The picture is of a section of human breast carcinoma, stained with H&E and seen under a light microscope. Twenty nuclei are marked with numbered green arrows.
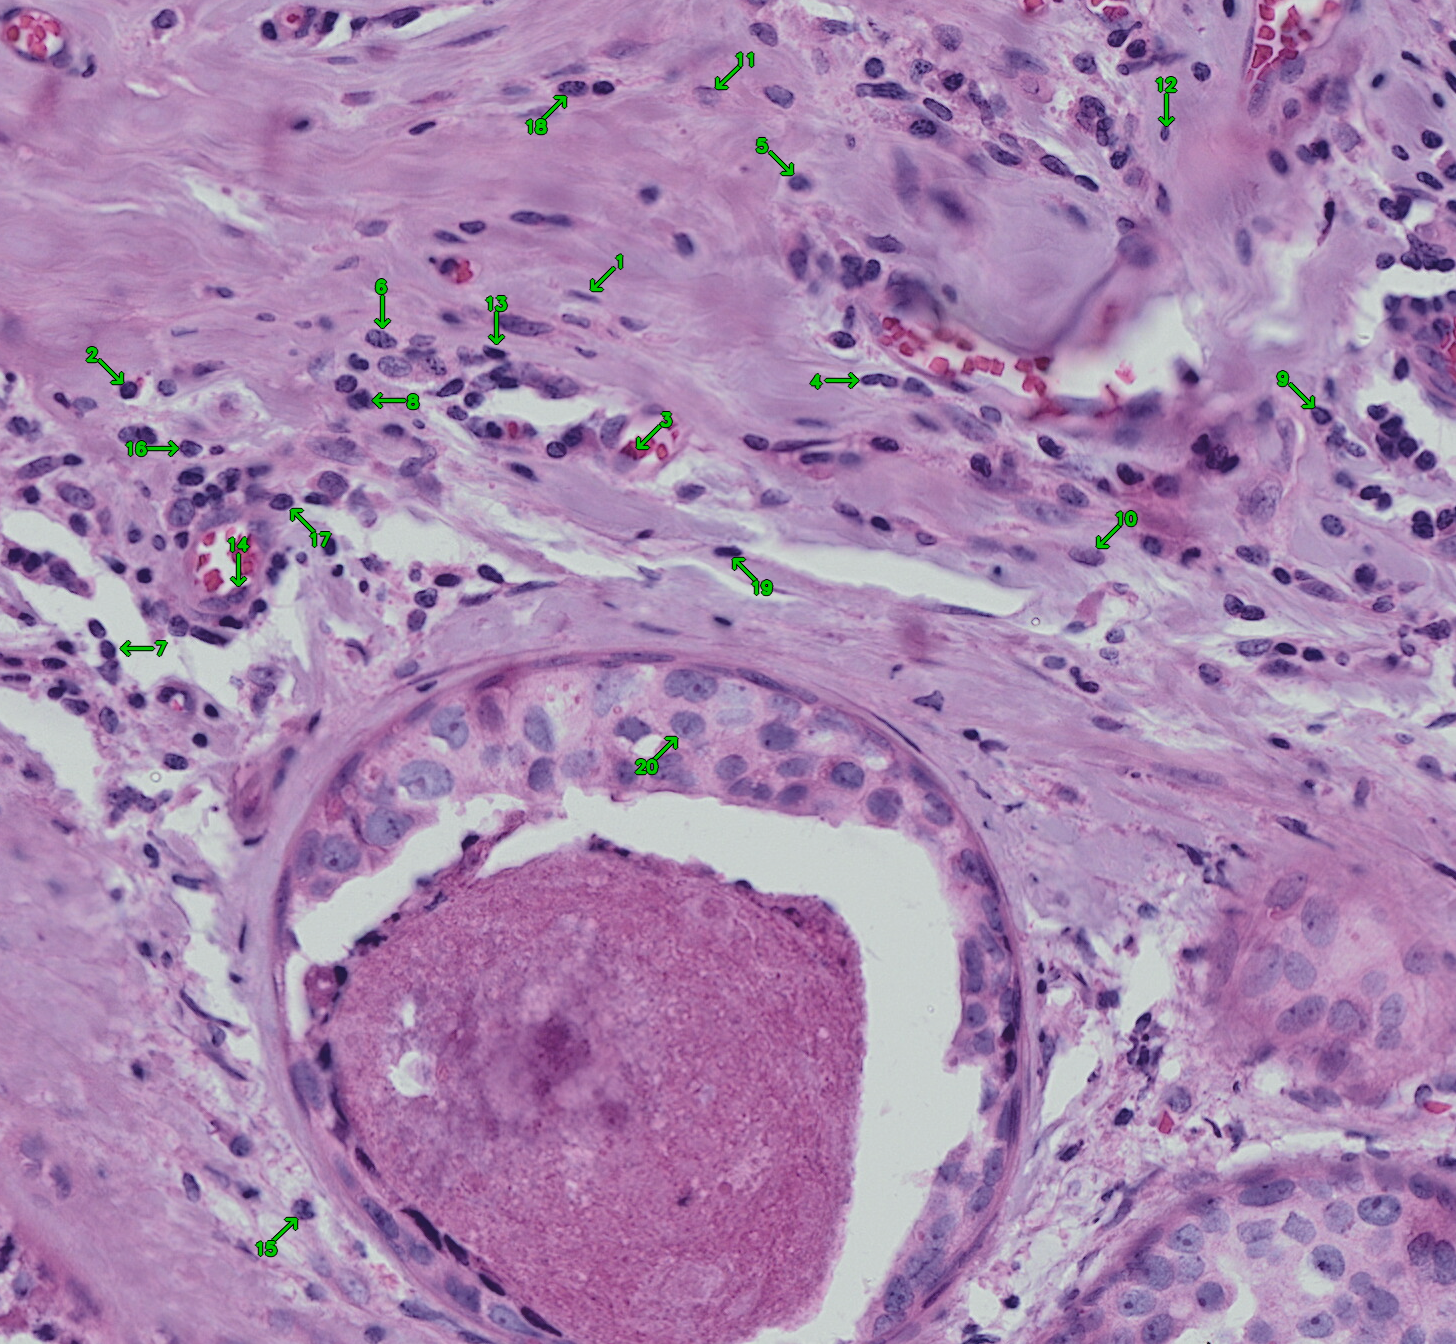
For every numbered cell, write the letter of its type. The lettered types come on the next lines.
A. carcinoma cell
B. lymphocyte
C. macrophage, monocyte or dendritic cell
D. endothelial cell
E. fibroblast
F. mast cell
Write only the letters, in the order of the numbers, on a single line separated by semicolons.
E; B; D; B; F; F; B; B; B; E; E; B; B; D; F; B; B; F; B; A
